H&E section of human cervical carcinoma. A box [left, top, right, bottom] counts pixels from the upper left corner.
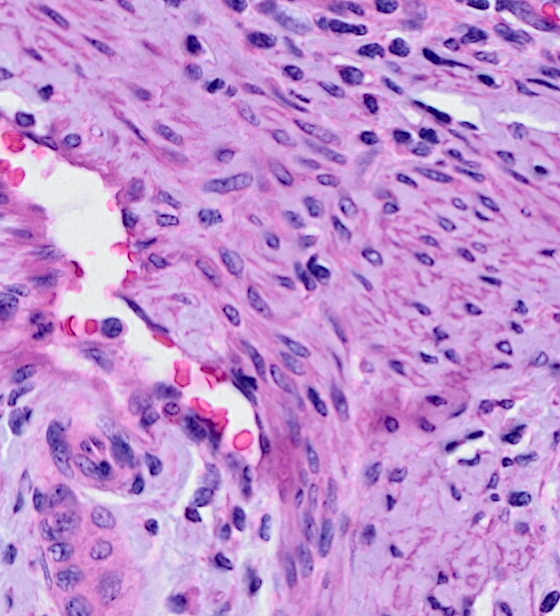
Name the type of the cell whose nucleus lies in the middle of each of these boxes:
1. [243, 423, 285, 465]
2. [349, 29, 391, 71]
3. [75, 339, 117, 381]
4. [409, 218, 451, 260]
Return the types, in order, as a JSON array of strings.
["endothelial cell", "lymphocyte", "endothelial cell", "smooth muscle cell"]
